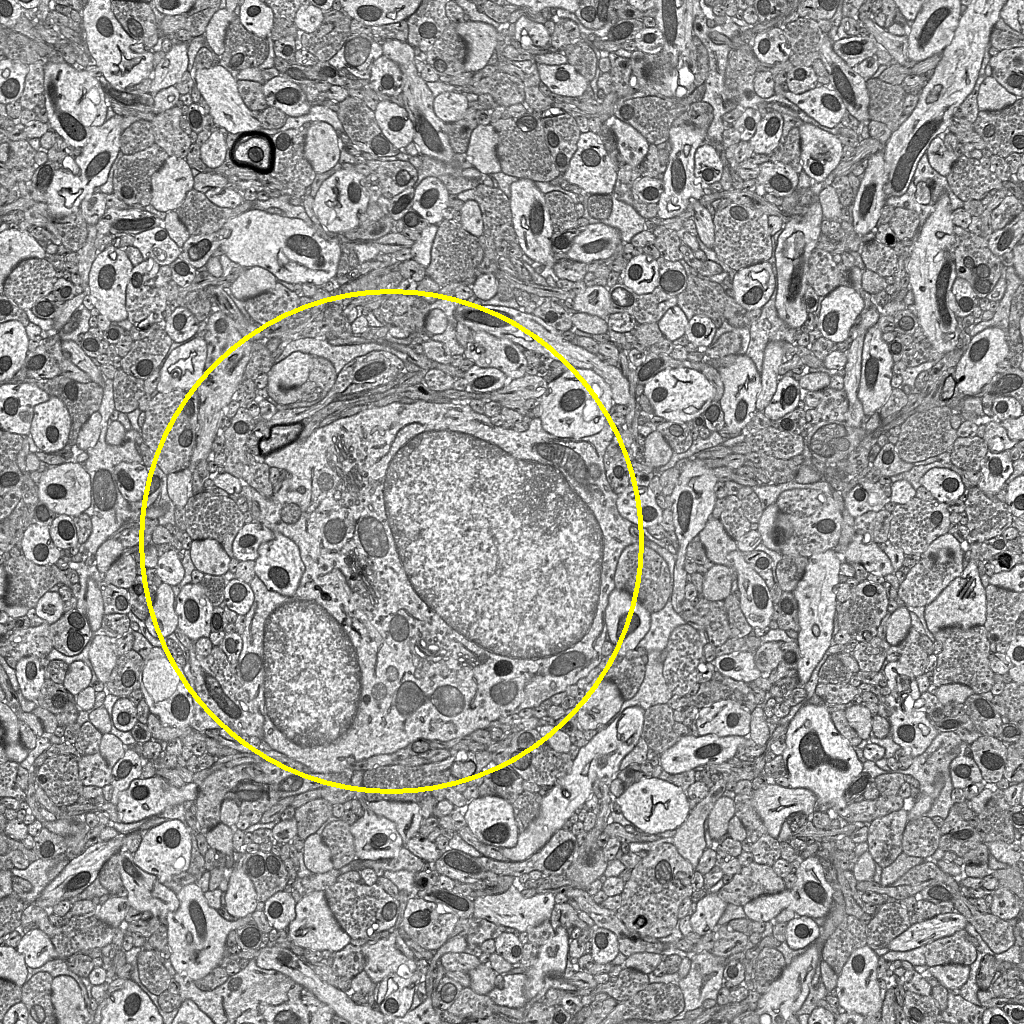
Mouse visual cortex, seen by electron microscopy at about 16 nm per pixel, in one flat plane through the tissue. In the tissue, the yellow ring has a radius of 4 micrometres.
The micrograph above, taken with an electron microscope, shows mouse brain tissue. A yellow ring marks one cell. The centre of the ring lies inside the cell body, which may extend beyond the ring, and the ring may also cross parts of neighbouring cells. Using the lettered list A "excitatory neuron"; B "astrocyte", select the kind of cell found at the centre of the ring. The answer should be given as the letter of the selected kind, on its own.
B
